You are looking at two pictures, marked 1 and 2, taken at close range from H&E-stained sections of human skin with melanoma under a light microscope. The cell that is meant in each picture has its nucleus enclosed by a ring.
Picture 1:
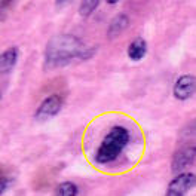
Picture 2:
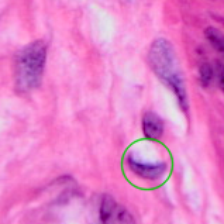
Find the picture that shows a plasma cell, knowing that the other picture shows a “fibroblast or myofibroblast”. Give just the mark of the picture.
1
